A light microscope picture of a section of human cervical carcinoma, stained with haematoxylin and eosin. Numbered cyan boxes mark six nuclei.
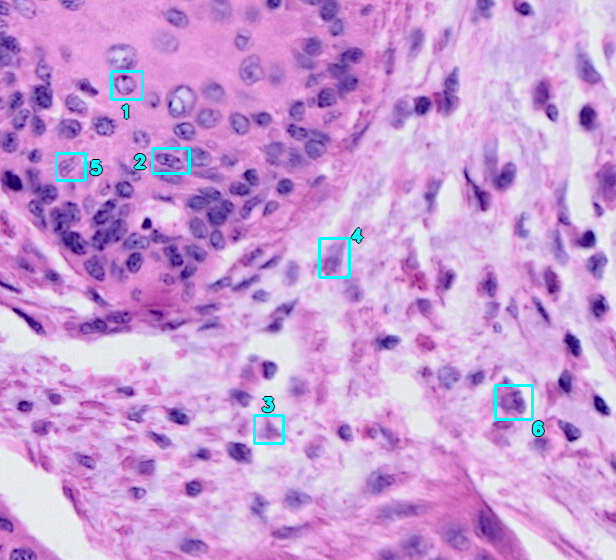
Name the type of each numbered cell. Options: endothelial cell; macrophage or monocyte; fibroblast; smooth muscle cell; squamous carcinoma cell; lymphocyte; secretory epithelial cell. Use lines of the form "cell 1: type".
cell 1: squamous carcinoma cell
cell 2: squamous carcinoma cell
cell 3: fibroblast
cell 4: fibroblast
cell 5: squamous carcinoma cell
cell 6: macrophage or monocyte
